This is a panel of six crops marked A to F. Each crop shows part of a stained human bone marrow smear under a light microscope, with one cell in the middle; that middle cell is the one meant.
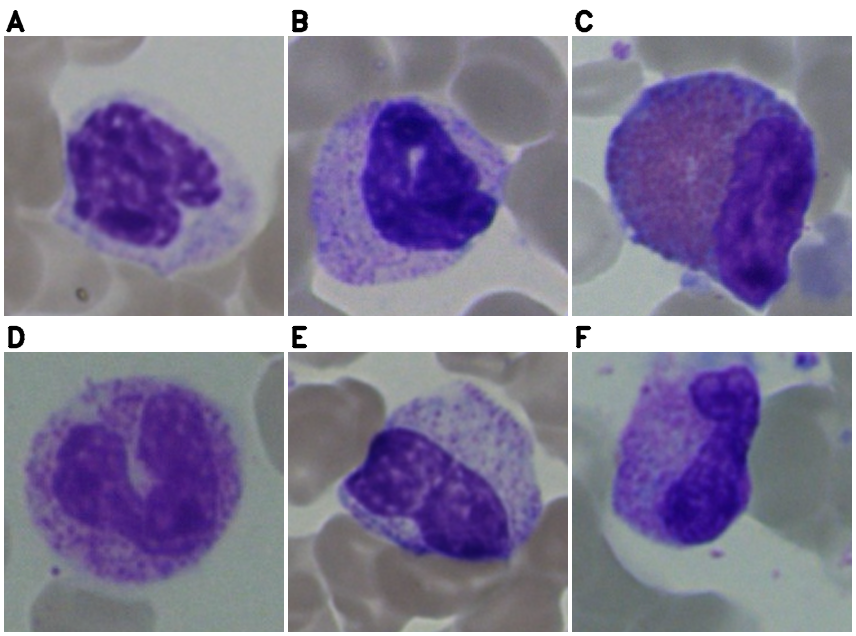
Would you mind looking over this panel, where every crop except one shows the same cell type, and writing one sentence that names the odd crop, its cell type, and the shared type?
The outlier here is crop C, which is an eosinophil, while the remainder show band neutrophils.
